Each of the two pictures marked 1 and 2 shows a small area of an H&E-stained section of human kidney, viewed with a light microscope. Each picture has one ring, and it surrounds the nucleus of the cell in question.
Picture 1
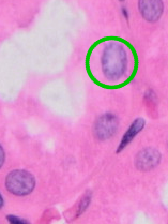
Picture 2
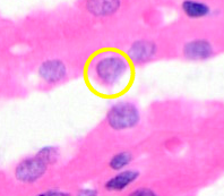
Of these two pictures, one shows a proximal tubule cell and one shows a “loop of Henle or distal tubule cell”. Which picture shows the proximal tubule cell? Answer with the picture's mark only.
1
